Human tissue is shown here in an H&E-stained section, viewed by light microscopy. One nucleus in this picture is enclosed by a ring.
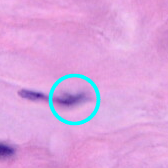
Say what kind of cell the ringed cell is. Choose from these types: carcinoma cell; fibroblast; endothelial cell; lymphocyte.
fibroblast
